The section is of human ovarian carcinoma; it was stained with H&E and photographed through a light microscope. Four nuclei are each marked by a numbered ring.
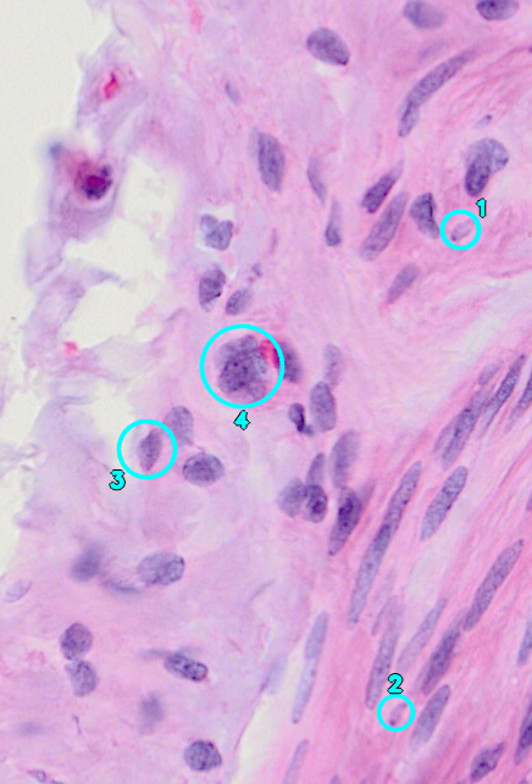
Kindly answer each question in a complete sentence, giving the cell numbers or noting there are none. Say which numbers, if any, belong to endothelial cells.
Among the numbered nuclei, only the one labelled 4 belongs to an endothelial cell.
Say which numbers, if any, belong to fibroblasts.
Of all the numbered cells, only one is a fibroblast, and that is cell 3.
